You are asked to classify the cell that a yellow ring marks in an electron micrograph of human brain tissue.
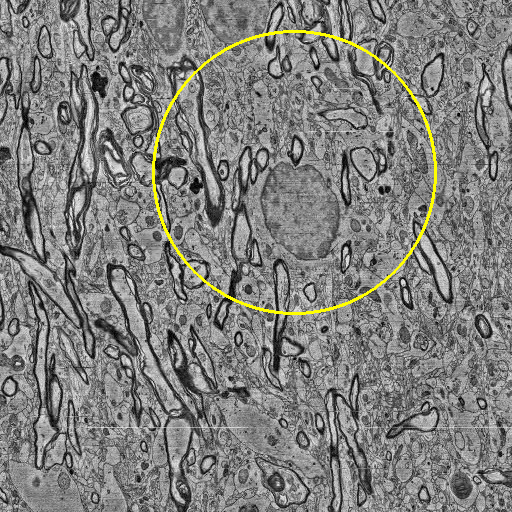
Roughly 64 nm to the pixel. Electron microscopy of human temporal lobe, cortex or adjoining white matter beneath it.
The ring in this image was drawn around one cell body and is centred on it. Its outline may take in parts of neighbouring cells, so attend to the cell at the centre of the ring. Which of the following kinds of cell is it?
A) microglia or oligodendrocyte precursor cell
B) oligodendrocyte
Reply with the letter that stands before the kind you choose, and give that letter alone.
B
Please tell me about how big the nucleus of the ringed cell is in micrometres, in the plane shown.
The nucleus measures about 7 by 5 micrometres in this plane.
